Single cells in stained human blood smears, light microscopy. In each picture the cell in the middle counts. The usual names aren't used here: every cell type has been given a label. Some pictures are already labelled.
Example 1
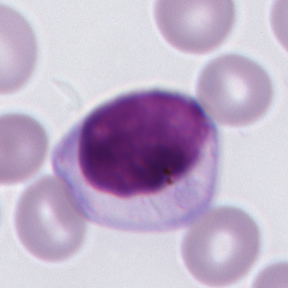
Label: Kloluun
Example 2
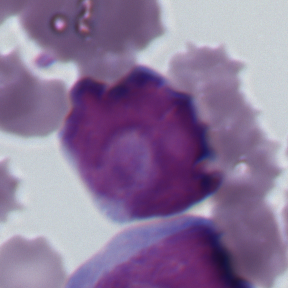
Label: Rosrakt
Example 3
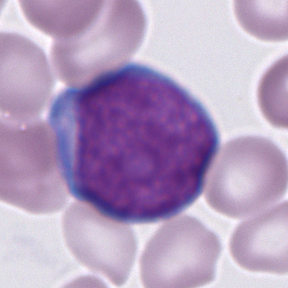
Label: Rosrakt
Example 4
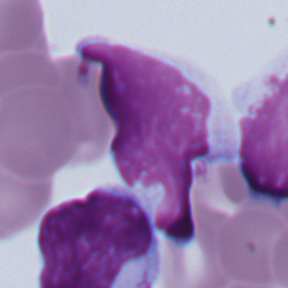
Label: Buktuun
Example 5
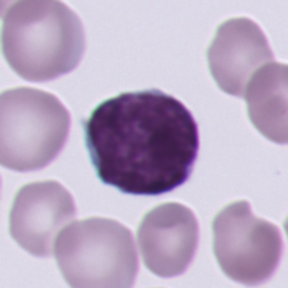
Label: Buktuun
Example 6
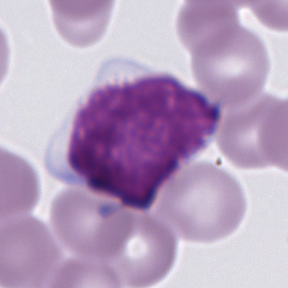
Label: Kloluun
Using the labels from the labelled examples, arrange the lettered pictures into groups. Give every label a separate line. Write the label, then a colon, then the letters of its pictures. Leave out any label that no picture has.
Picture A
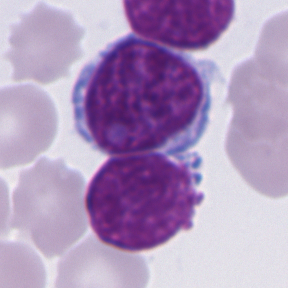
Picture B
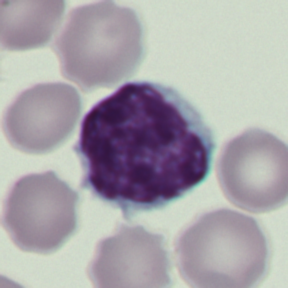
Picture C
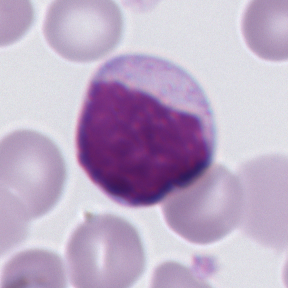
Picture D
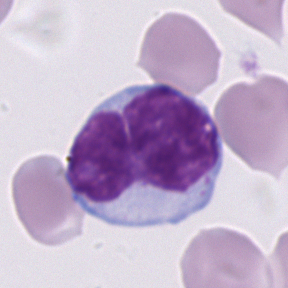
Kloluun: C
Rosrakt: A, D
Buktuun: B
